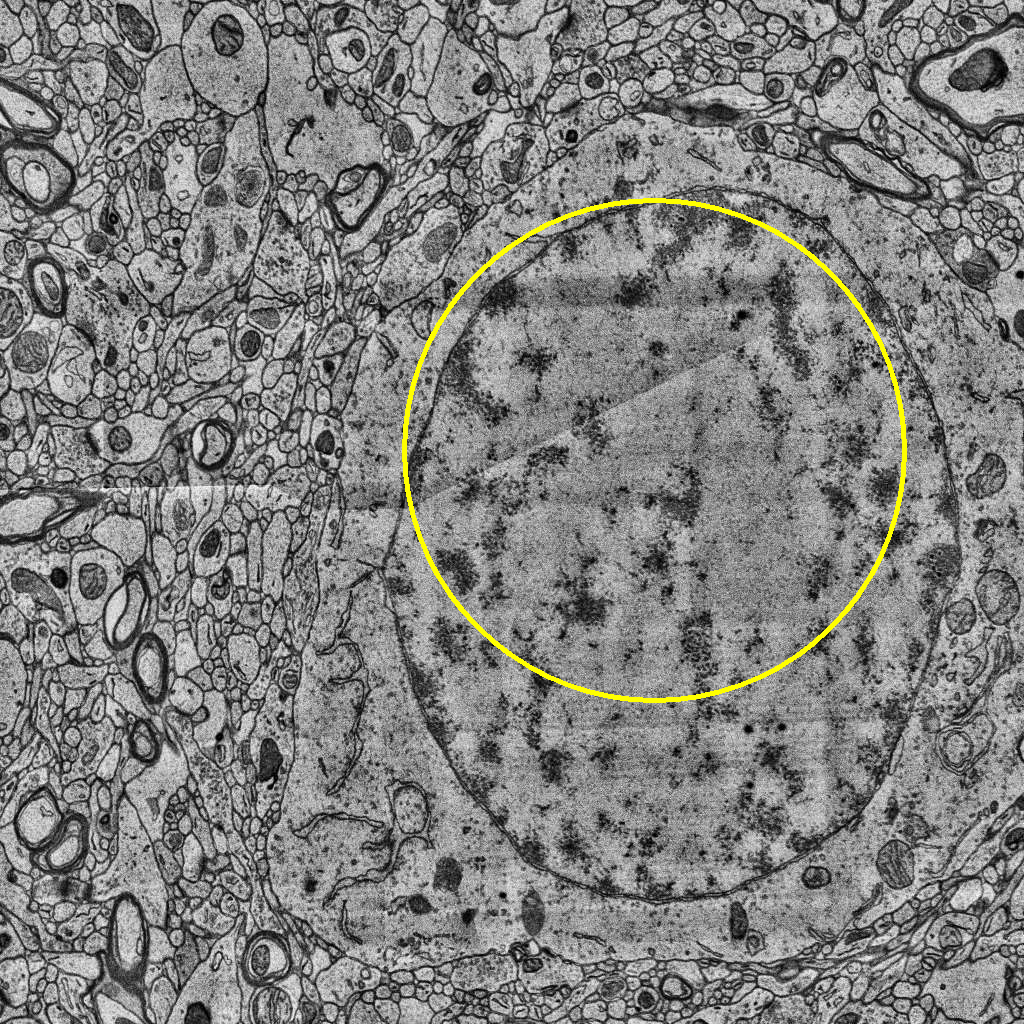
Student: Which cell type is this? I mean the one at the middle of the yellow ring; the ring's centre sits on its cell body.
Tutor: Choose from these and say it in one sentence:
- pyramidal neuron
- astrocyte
The cell at the ring's centre is a pyramidal neuron.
